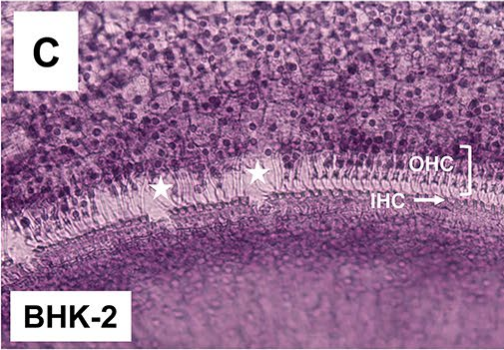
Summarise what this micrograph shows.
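This surface view of the cochlear sensory epithelium, stained purple, shows a curved band of parallel rows of small regularly spaced cells, broken here and there by pale patches. Within the patches the rows are lost and the surface looks smooth and flat. On both sides of each patch the rows of small cells continue. Above the band lies a field of many small round dark nuclei. The pale patches are spots of missing hair cells and flattened epithelium amid regions where rows of outer and inner hair cells remain.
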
